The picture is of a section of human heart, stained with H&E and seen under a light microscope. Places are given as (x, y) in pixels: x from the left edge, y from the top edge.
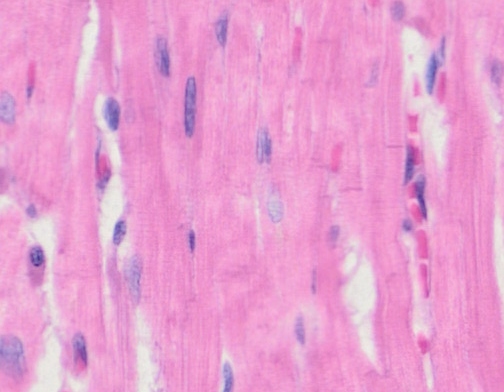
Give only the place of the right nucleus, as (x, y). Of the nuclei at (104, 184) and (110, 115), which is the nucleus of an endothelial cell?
(104, 184)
